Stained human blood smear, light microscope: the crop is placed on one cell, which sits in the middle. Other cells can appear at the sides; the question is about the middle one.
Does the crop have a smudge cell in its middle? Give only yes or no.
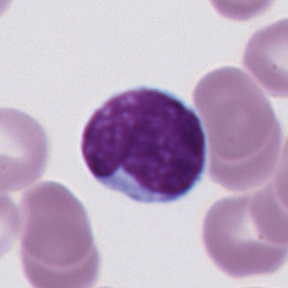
no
